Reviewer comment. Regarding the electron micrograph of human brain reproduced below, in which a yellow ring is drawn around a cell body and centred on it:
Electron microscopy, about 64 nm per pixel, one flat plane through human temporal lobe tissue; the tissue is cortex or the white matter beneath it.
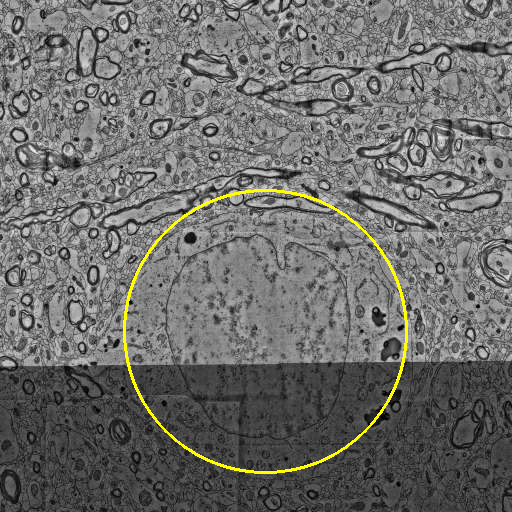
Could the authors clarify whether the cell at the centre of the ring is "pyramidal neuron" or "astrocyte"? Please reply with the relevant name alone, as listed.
pyramidal neuron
